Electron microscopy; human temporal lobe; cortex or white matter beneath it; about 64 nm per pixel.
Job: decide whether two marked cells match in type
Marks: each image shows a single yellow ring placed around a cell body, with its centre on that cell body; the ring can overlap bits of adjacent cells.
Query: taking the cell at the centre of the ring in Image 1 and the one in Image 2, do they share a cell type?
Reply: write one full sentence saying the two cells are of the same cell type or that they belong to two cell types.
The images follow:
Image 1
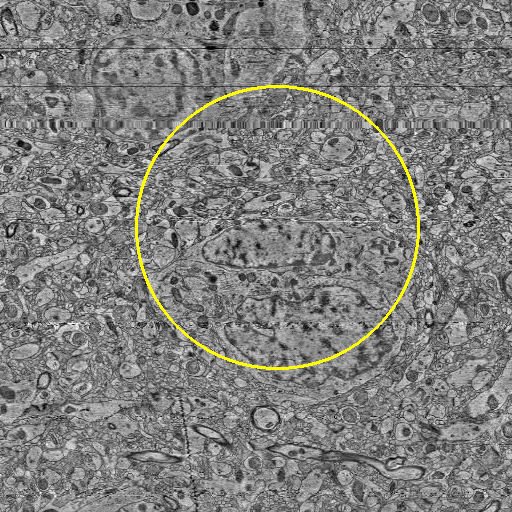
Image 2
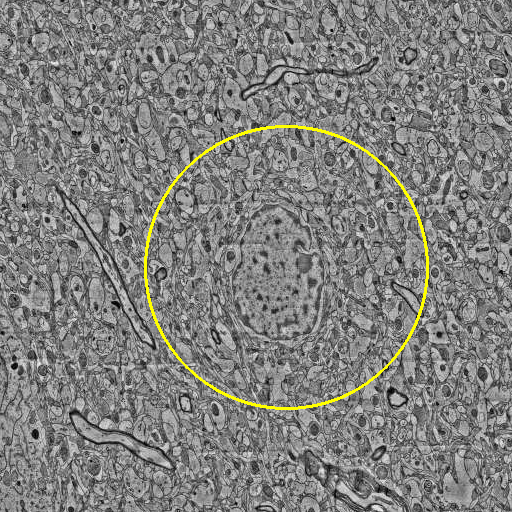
The cells at the ring centres in Image 1 and Image 2 are of the same cell type.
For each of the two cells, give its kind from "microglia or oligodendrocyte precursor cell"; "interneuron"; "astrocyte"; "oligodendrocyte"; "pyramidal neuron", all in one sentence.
Each one of the two ringed cells is a microglial cell or oligodendrocyte precursor cell.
